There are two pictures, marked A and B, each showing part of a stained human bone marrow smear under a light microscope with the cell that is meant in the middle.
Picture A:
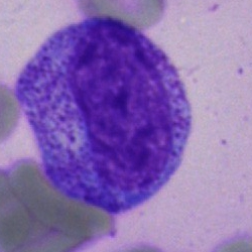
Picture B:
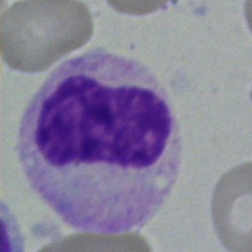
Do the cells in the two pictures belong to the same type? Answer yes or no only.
no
